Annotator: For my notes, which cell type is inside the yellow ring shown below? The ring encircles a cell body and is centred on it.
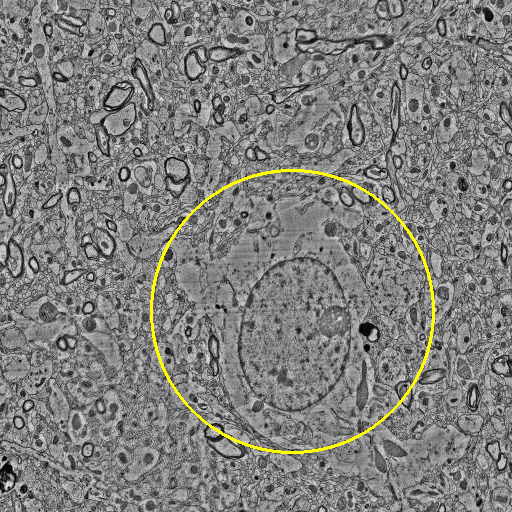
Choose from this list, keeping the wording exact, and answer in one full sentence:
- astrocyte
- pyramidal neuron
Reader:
At the centre of the yellow ring there is an astrocyte, as shown in the picture.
